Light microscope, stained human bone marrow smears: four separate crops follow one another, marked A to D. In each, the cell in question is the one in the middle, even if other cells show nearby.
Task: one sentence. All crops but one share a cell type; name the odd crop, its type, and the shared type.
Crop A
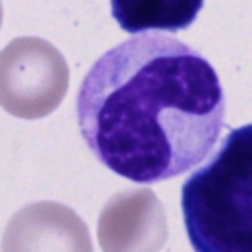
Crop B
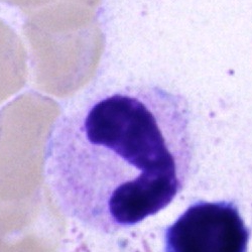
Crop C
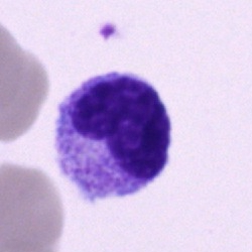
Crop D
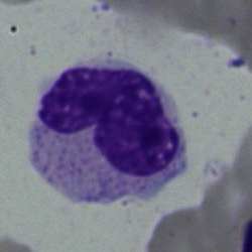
Shown in crop C is a metamyelocyte, in contrast to the band neutrophils of all the other crops.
